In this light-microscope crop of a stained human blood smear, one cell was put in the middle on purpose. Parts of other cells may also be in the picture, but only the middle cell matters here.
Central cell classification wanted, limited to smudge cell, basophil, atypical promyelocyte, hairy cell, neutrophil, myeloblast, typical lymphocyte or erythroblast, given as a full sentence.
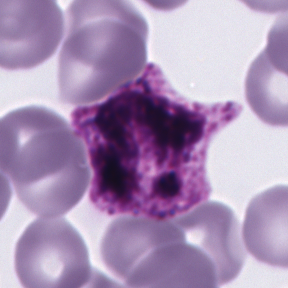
The middle position in this crop is taken by a basophil.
